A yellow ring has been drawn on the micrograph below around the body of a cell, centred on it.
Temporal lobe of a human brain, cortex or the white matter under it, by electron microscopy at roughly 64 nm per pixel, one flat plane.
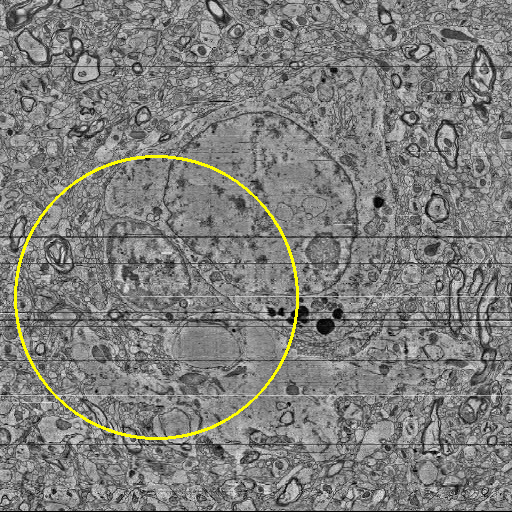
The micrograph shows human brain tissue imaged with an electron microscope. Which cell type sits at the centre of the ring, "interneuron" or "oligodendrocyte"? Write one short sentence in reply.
The cell sitting at the centre of the ring is an oligodendrocyte.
